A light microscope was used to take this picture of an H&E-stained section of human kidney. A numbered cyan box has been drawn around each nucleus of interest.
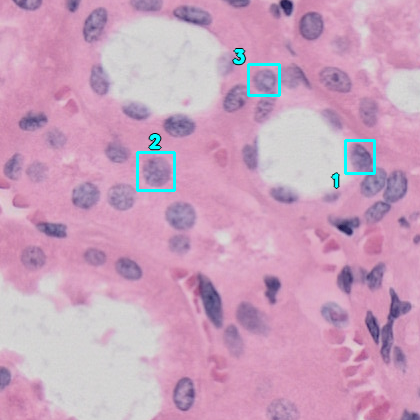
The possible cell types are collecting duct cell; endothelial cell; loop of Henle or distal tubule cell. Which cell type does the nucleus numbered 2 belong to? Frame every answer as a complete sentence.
Cell 2 should be recorded as a loop of Henle or distal tubule cell.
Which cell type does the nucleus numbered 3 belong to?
Number 3 among the marked cells is a collecting duct cell.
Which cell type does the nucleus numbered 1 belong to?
In the tissue shown, cell 1 is a collecting duct cell.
